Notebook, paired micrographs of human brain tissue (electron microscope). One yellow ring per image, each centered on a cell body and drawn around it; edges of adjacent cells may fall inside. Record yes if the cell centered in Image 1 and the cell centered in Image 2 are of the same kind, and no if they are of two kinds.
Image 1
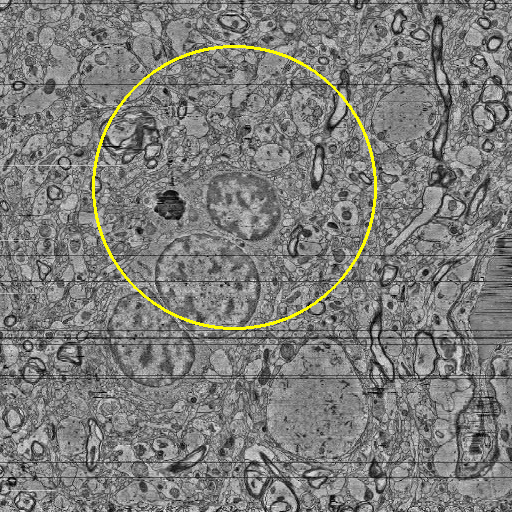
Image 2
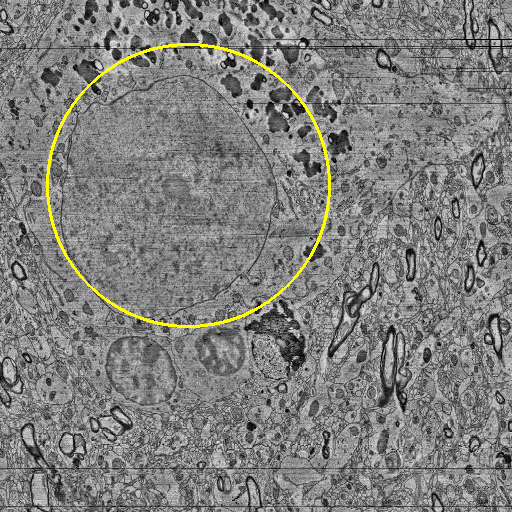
no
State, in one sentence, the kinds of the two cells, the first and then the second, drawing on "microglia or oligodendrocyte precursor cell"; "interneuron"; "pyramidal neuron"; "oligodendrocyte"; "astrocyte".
The ring in the second picture is centred on a pyramidal neuron, the ring in the first on an oligodendrocyte.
